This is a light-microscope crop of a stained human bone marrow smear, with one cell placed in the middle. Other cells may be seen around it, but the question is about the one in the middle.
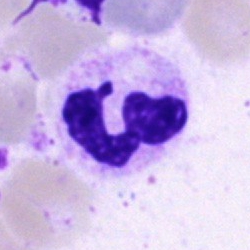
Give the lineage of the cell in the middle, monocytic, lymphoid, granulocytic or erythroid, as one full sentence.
The cell at the center belongs, by lineage, to the granulocytic line.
